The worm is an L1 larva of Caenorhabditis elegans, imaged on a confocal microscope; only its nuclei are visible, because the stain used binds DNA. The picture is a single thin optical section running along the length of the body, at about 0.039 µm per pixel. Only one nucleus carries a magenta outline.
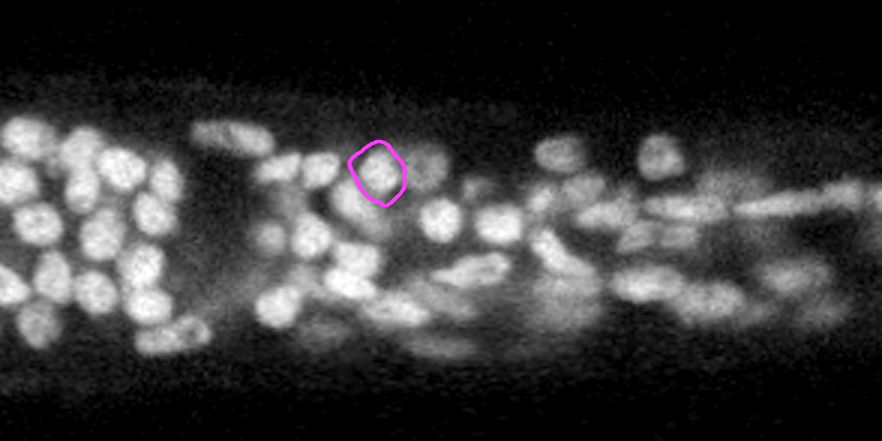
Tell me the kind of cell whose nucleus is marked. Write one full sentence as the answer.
It belongs to a glial cell (sheath or socket).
